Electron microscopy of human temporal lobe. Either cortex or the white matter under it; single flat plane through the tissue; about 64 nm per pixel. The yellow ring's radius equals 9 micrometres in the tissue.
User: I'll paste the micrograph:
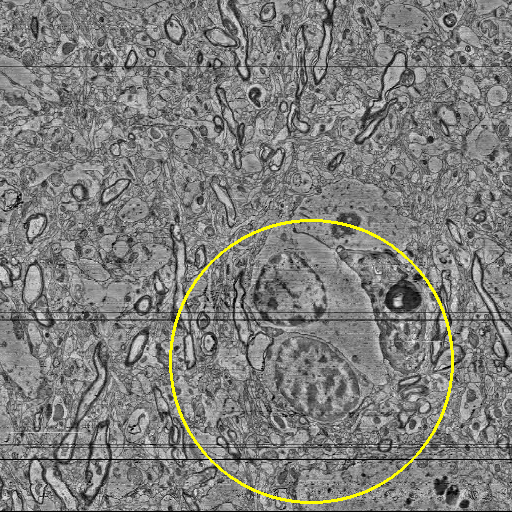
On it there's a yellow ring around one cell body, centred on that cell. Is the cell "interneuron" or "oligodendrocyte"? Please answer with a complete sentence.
The cell ringed in yellow is an oligodendrocyte.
